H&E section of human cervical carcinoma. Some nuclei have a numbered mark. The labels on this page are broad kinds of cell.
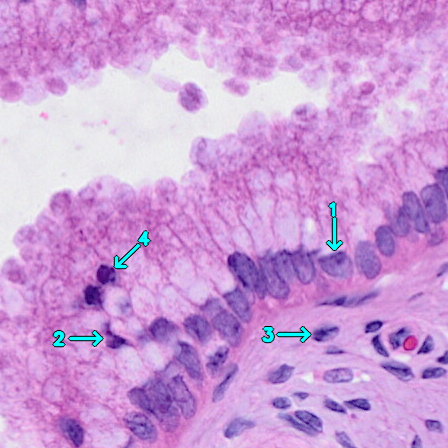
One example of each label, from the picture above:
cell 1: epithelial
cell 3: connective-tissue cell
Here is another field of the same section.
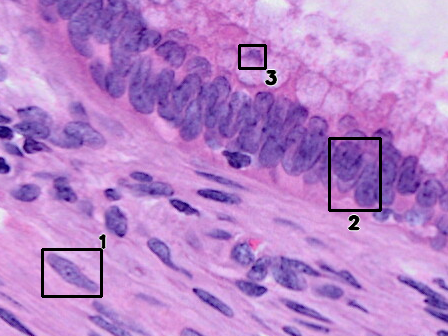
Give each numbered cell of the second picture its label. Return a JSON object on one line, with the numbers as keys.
{"1": "connective-tissue cell", "2": "epithelial", "3": "epithelial"}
